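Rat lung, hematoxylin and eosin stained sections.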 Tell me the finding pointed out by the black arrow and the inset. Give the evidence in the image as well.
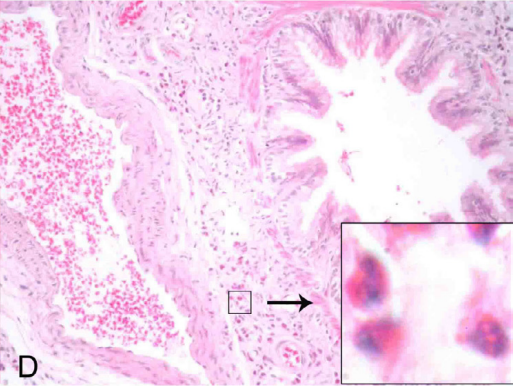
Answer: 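Eosinophilic. The inset shows cells with bright red granular cytoplasm. Their nuclei are dark and ring-shaped or lobed.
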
